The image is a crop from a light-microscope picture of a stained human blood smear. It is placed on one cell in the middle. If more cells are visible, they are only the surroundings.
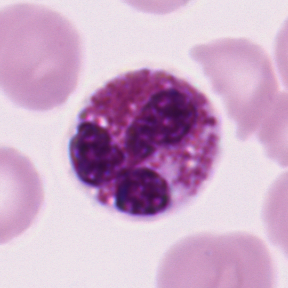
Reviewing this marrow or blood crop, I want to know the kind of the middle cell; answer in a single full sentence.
The central cell in this smear crop is an eosinophil.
